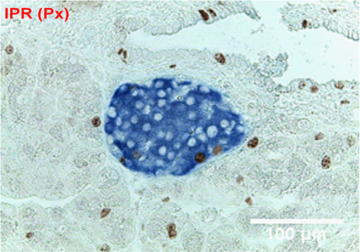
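Pancreatic section with a large, rounded islet whose cells have blue-stained cytoplasm and pale, round nuclei. The surrounding tissue is pale and unstained, with scattered brown nuclei outside the islet.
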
